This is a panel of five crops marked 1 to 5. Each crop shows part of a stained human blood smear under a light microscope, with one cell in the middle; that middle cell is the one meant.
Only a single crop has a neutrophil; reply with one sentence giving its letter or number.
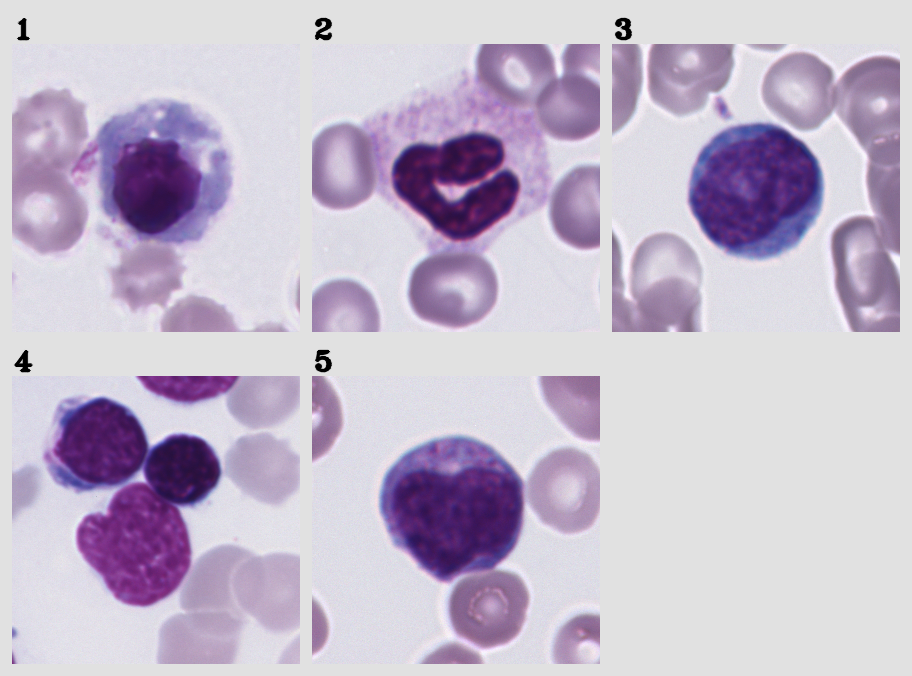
It is in crop 2, among all the crops, that a neutrophil is present.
